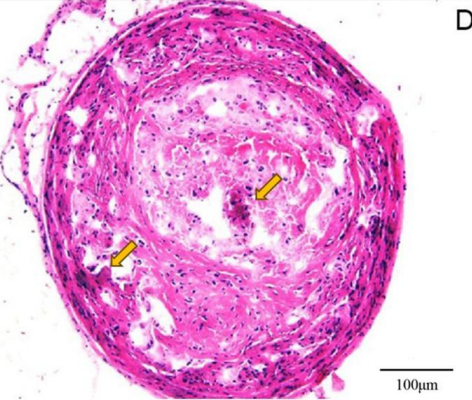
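Cross-section of an artery whose lumen is occluded: a thickened wall with plaque tissue surrounds a central disorganized pink granular mass with scattered dark nuclei, an intraluminal thrombus. The surrounding wall shows concentric layers of pink fibrous and muscular tissue with many dark nuclei and irregular clear spaces.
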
